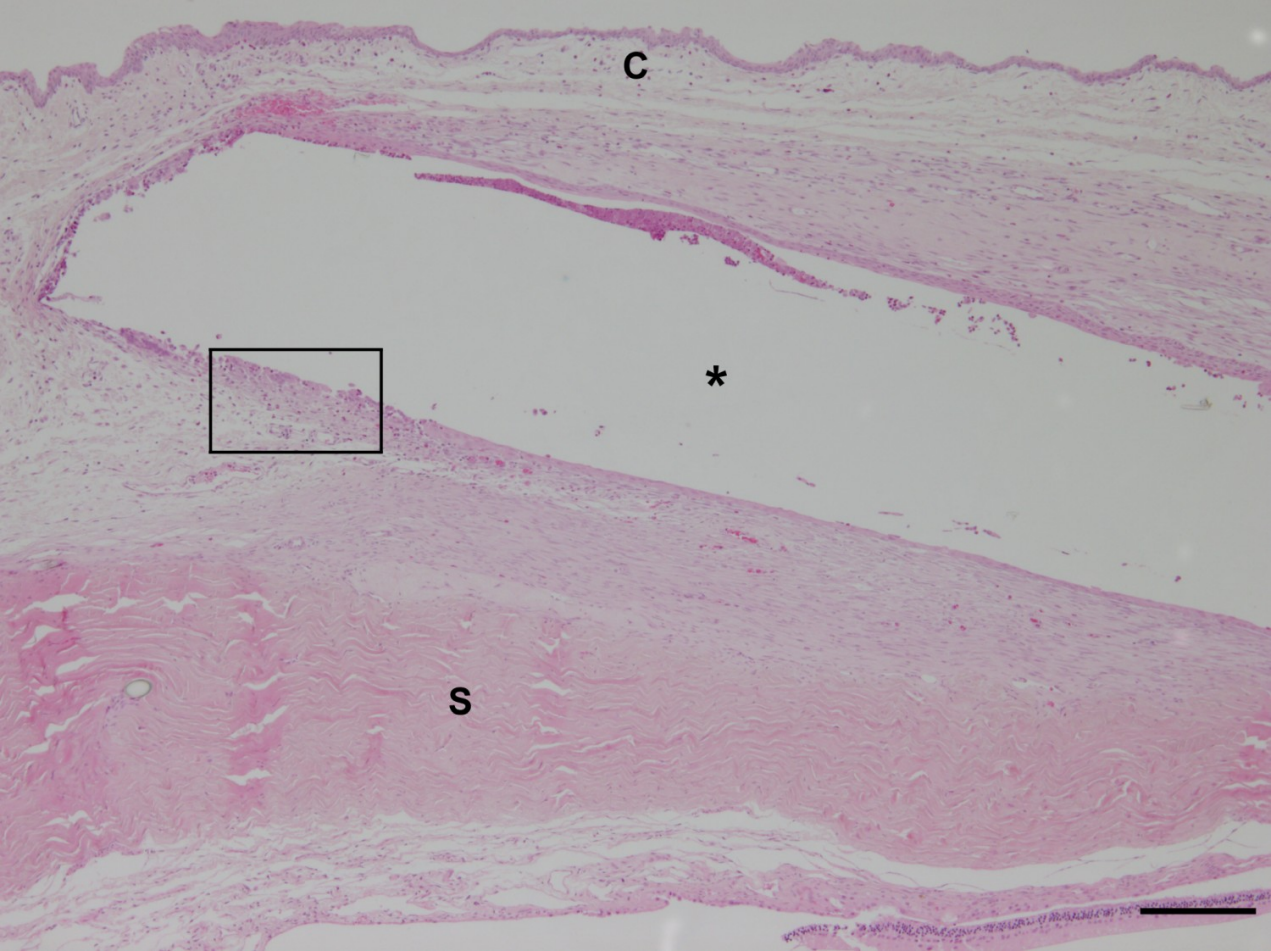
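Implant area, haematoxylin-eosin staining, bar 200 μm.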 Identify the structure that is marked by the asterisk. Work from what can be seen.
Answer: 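Large elongated clear space without tissue. Space lined by tissue above and below.
Empty cavity.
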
